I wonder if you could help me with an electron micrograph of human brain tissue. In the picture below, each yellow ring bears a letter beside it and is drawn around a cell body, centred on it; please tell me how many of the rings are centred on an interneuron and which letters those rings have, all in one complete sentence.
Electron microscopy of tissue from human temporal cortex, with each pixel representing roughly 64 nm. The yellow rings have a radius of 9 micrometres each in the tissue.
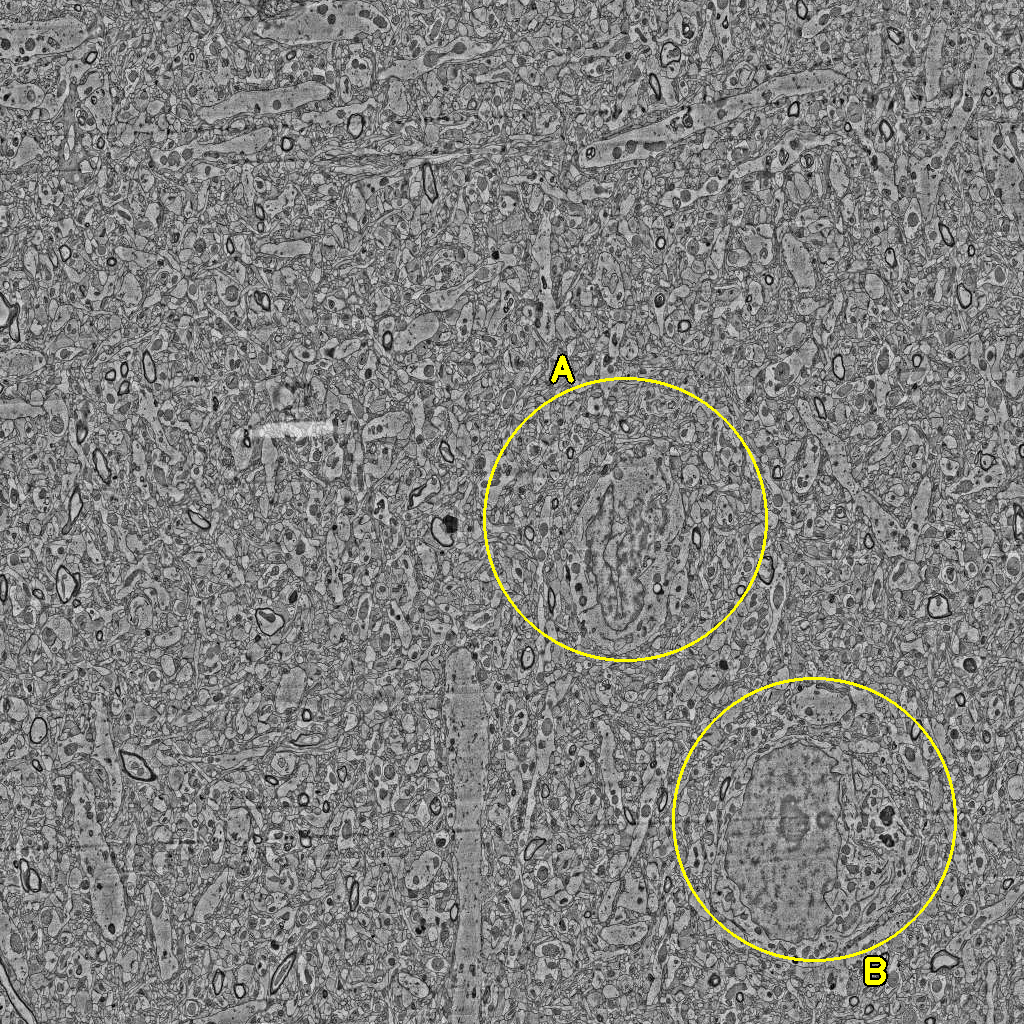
Each of two rings is centred on an interneuron, these being the rings with the letters A and B.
